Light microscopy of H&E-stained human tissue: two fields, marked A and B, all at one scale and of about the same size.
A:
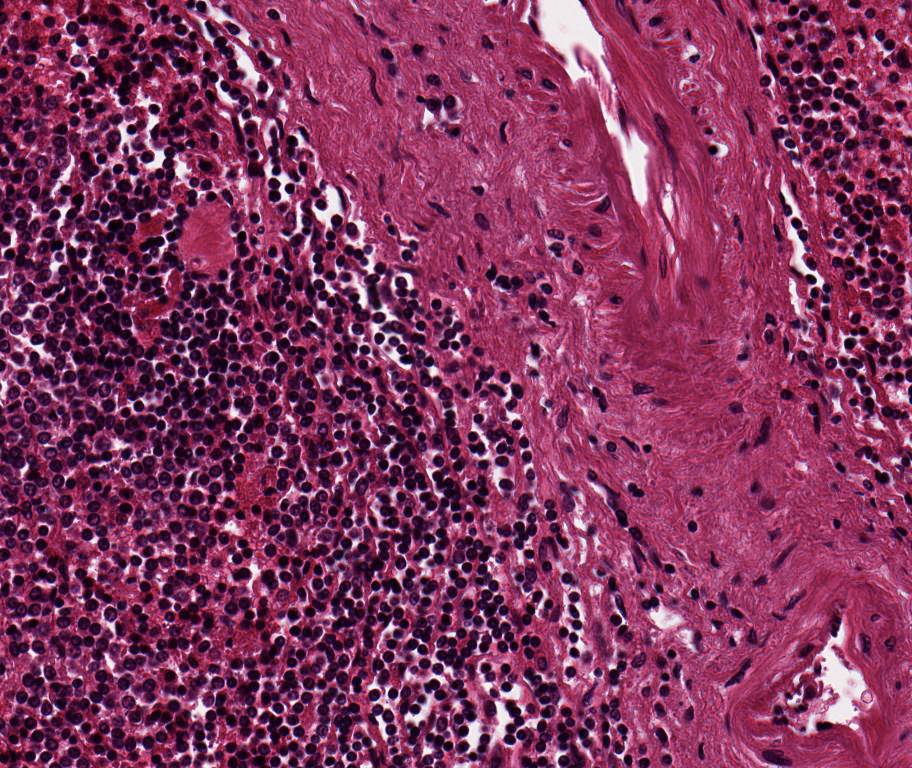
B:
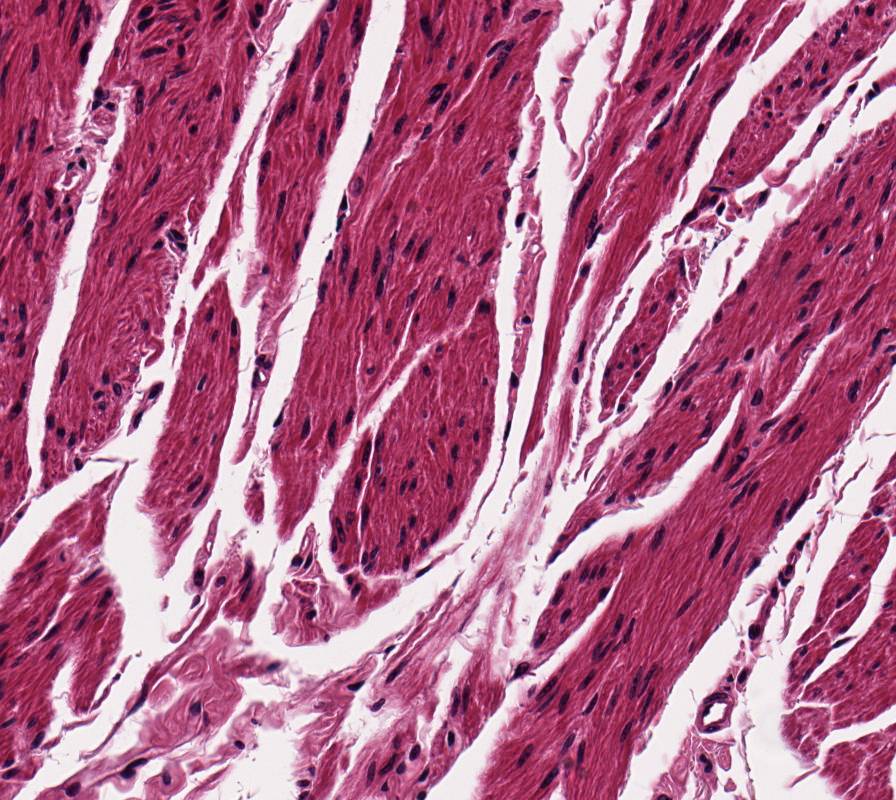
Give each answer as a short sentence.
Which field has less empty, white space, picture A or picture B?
Unstained space takes up less of picture A than of picture B.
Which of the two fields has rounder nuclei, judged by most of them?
It is picture A whose nuclei are the rounder.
